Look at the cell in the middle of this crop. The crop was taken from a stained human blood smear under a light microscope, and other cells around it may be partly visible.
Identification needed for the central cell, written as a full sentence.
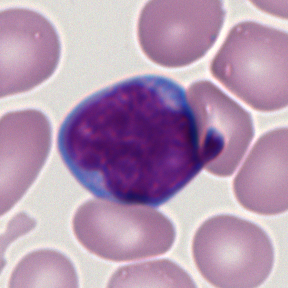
The middle position in this crop is taken by a typical lymphocyte.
